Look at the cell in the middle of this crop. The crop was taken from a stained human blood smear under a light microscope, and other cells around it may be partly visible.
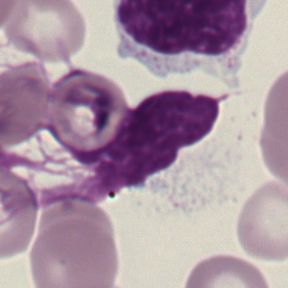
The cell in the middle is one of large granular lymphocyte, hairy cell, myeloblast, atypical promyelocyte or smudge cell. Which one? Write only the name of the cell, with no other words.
smudge cell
